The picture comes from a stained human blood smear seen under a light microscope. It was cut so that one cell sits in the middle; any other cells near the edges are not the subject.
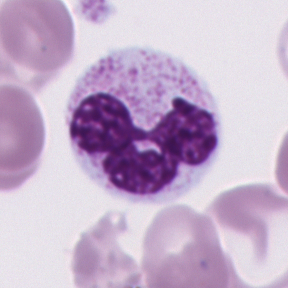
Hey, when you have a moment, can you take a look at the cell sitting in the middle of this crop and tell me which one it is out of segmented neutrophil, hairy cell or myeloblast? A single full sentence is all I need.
The single cell at the center of the crop is a segmented neutrophil.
